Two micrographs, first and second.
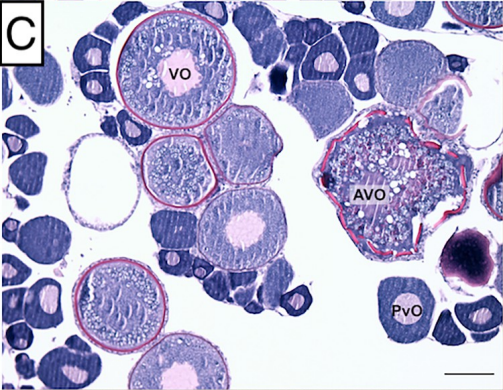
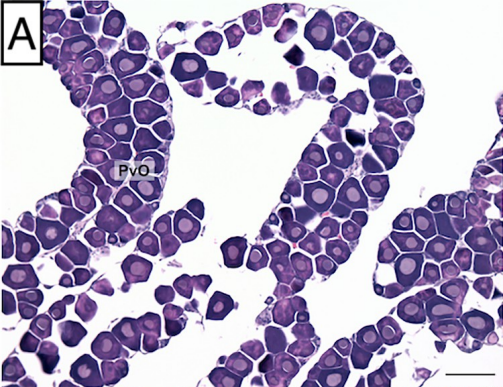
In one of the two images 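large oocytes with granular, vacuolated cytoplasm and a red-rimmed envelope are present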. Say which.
The first image.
